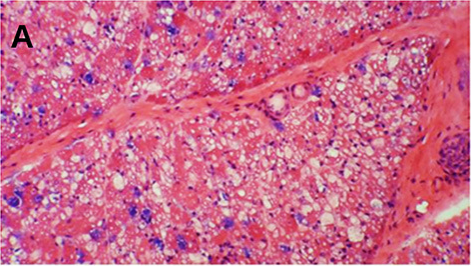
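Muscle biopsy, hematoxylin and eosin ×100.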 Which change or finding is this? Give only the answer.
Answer: Severe cytoplasmic vacuolization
